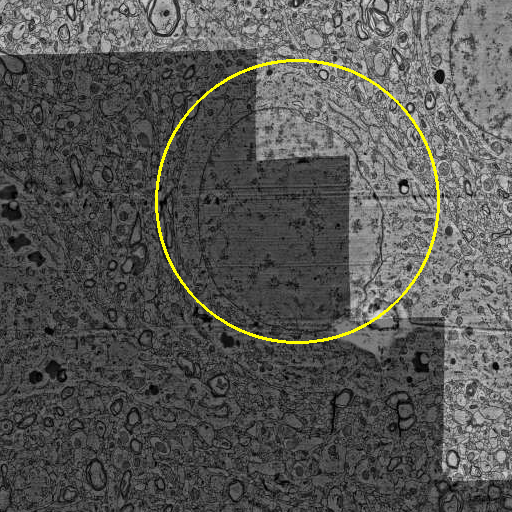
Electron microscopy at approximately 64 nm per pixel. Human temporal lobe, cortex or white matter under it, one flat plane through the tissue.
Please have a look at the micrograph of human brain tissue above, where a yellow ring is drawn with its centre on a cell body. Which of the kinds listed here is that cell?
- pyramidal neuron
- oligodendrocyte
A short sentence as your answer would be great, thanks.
At the centre of the ring sits a pyramidal neuron.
